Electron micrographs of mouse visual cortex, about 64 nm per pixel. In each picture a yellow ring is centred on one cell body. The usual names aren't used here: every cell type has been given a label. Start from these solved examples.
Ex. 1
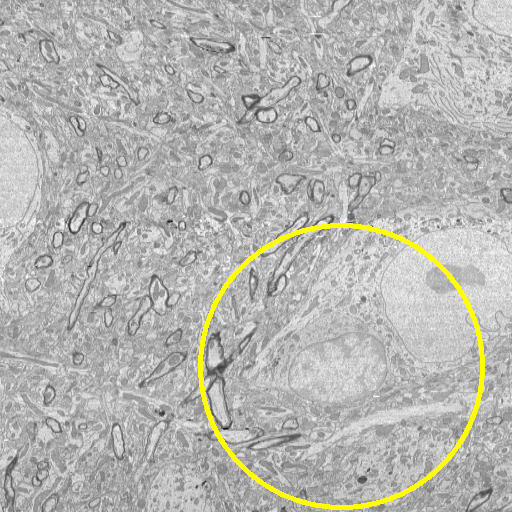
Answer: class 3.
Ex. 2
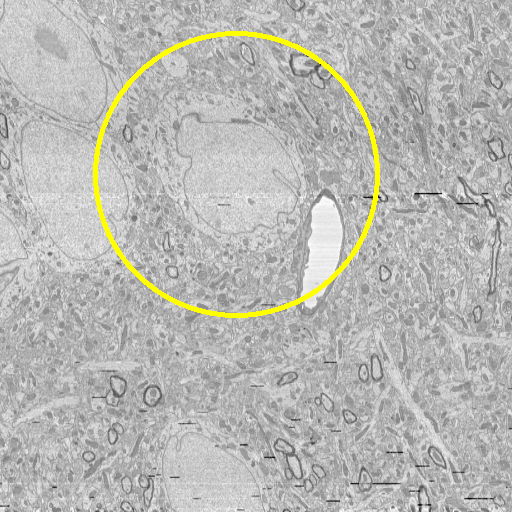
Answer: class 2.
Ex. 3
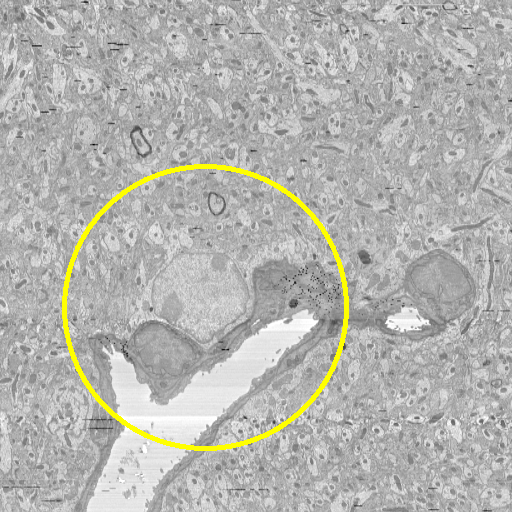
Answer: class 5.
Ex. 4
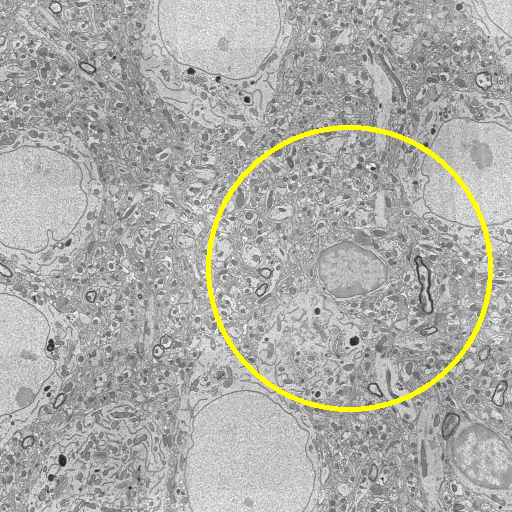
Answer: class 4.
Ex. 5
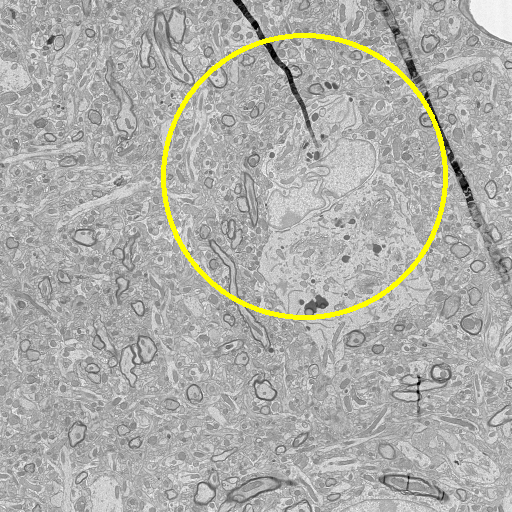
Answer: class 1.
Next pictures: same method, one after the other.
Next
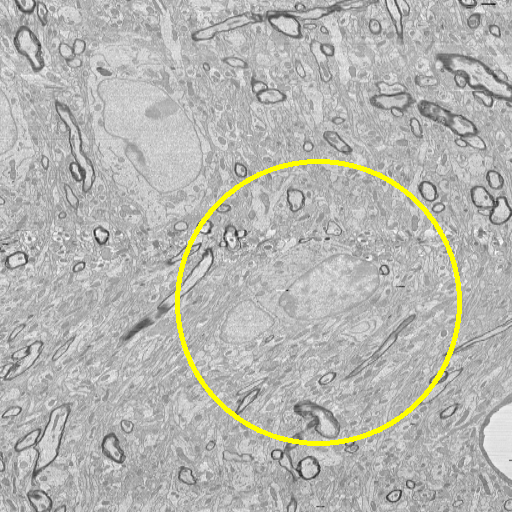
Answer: class 3.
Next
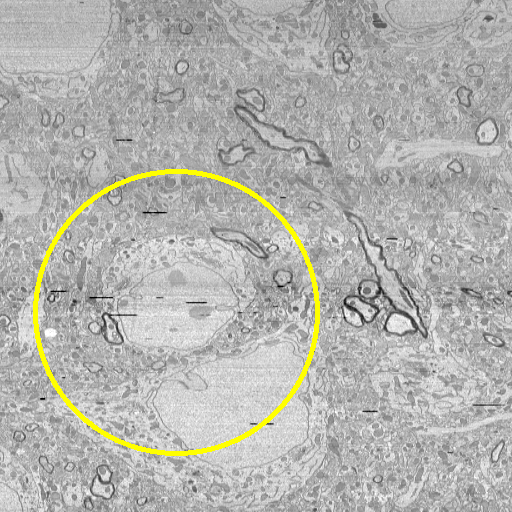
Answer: class 2.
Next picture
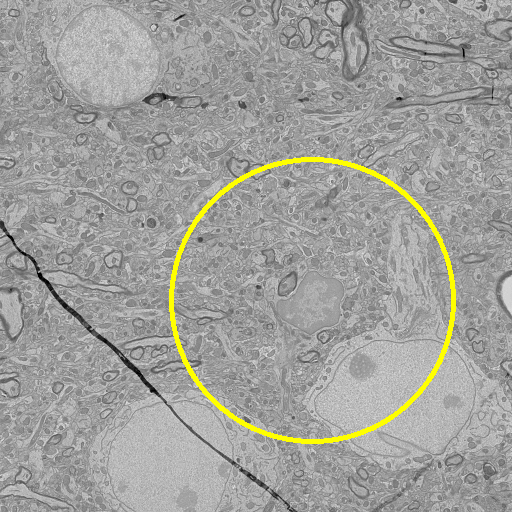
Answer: class 4.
